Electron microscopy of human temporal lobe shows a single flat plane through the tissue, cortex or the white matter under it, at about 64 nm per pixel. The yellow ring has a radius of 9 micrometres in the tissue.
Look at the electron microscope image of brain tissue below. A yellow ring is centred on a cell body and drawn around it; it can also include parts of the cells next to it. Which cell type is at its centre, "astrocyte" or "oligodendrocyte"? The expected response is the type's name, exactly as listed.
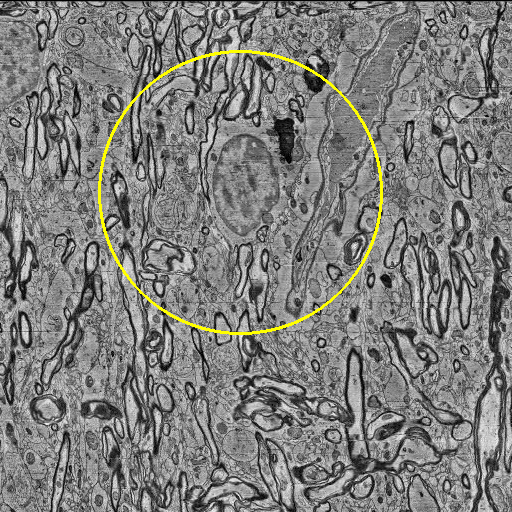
oligodendrocyte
